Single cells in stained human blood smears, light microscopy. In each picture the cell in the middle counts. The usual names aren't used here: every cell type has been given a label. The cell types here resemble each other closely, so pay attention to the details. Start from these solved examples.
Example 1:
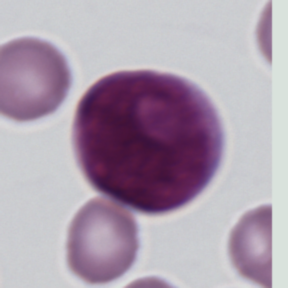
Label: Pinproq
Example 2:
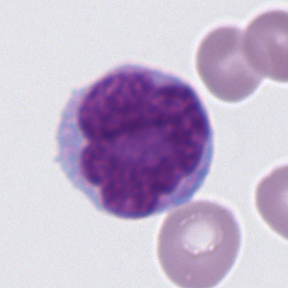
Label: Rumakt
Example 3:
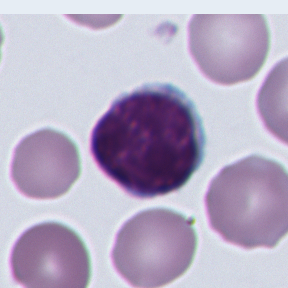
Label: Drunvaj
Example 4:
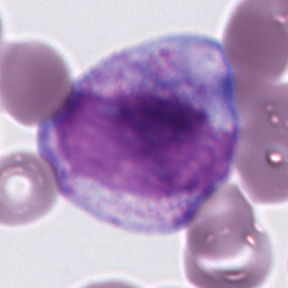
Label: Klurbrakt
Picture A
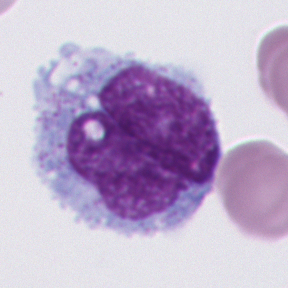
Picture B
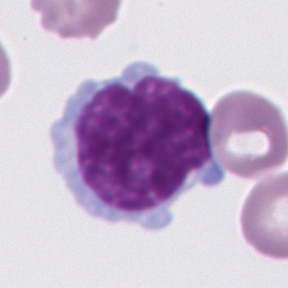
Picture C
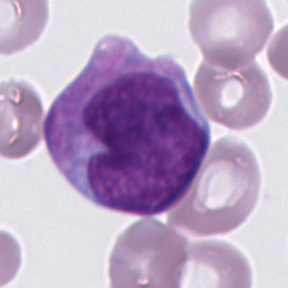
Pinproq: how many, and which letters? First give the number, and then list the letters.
0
